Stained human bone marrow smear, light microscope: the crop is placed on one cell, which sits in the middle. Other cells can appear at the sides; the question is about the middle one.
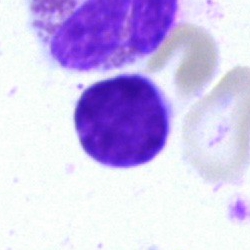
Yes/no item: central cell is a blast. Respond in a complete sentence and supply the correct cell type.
No, it is a lymphocyte and not a blast that occupies the middle of the crop.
